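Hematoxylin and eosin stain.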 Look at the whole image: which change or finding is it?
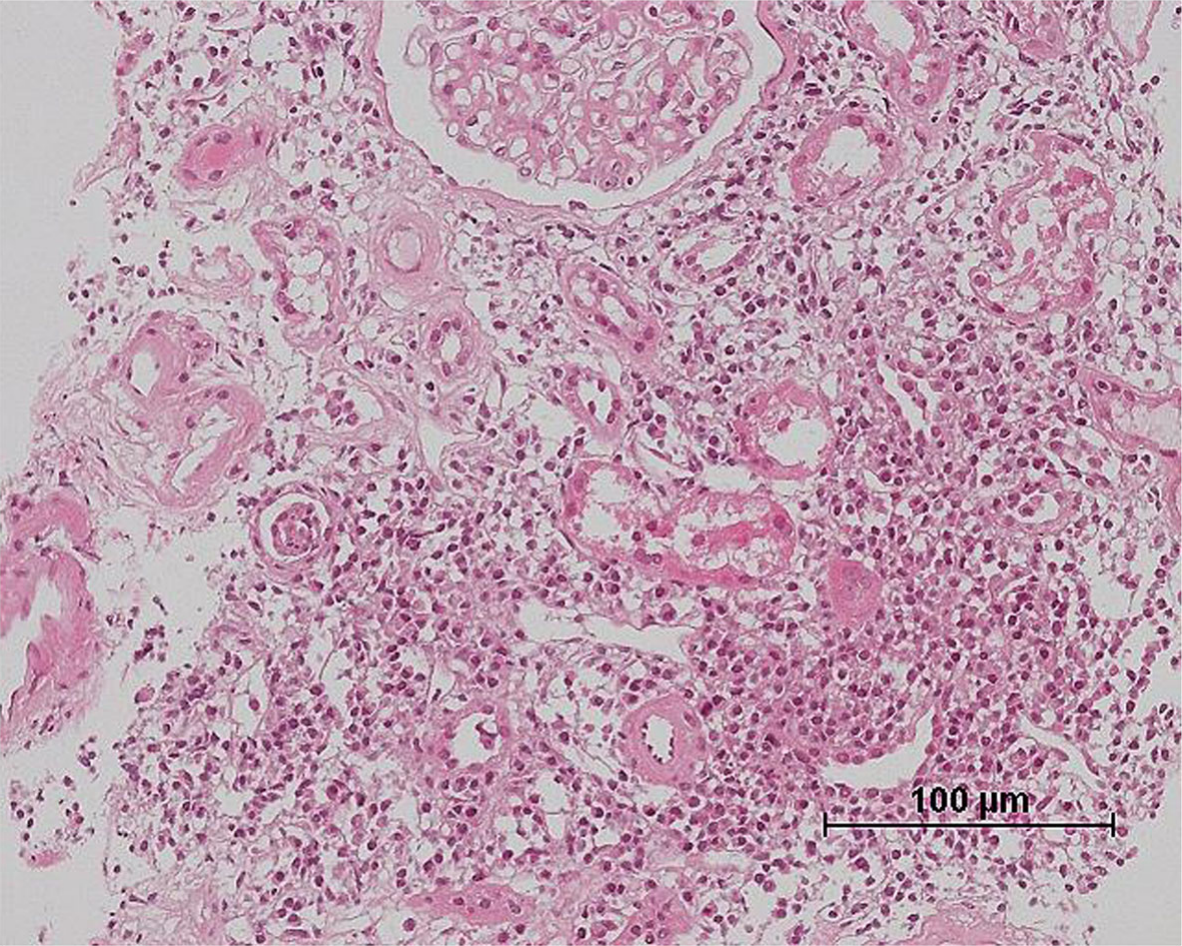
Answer: Diffuse marked renal interstitial inflammation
